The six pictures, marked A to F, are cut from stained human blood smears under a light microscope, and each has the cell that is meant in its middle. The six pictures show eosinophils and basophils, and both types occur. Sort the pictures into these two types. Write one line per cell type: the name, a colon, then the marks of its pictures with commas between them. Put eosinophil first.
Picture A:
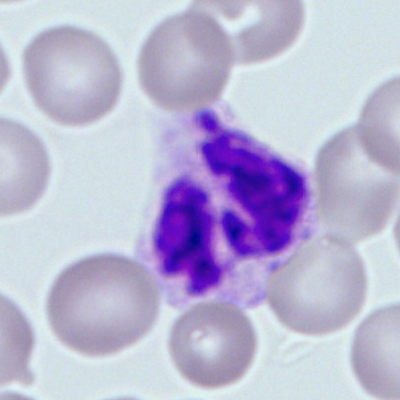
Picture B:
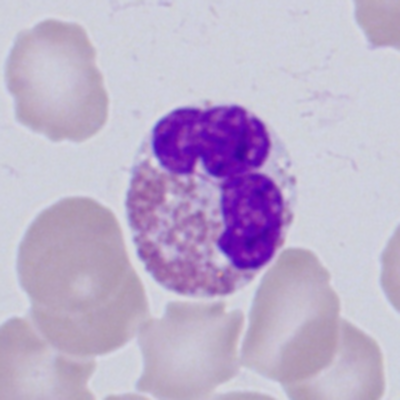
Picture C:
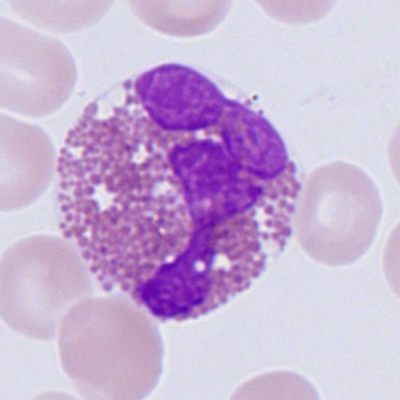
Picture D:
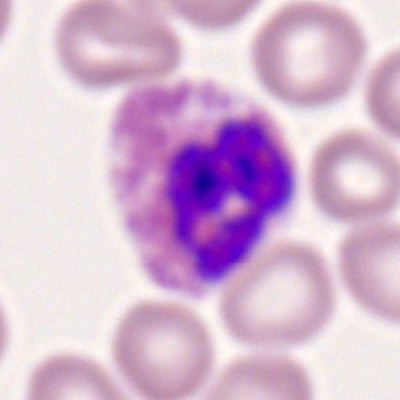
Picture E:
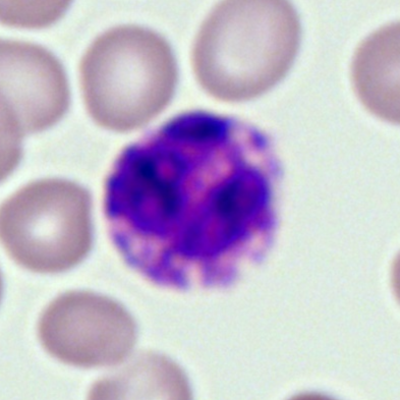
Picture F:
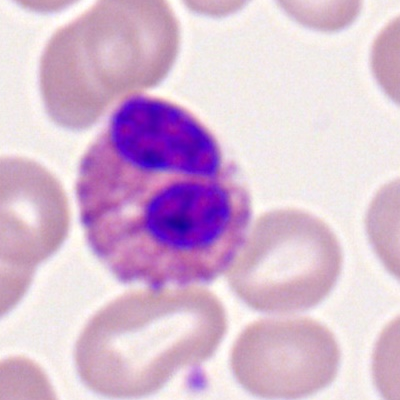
eosinophil: B, C, D, F
basophil: A, E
